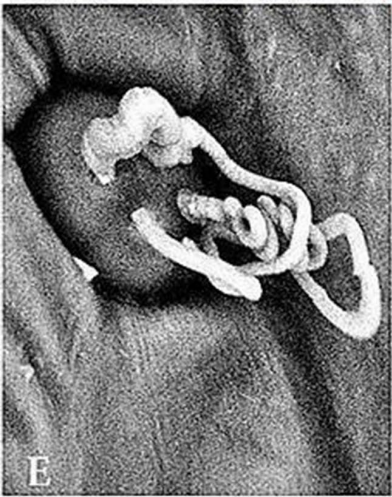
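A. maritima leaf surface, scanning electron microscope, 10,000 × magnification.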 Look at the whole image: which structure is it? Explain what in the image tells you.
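A coiled, worm-like strand of material emerges from a shallow pit in the surface.
Conclusion: Salt secretion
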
